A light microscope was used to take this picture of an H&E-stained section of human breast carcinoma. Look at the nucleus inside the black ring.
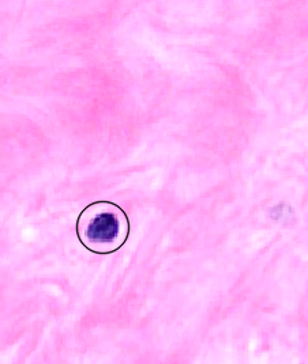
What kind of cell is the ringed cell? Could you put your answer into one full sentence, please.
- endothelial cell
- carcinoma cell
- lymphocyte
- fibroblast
In this preparation, the ringed cell is a lymphocyte.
